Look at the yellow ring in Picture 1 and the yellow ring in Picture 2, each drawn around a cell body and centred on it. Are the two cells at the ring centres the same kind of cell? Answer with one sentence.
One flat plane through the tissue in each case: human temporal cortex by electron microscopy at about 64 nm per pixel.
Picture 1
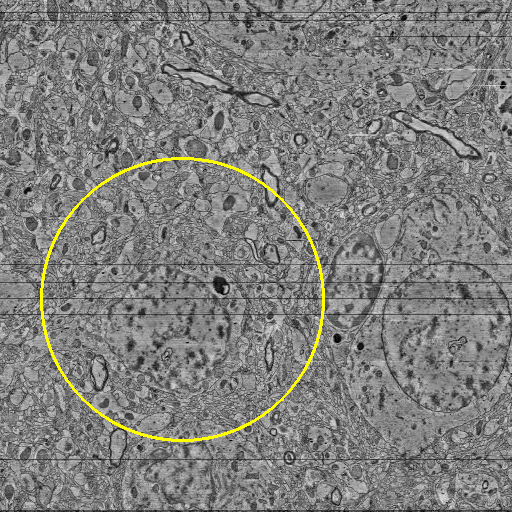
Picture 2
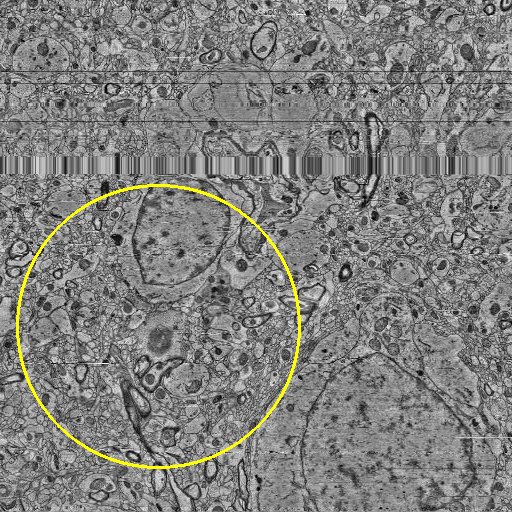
No, they are cells of two kinds.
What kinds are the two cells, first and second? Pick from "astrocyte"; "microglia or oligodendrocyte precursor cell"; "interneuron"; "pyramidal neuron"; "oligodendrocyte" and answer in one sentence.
The second picture holds an oligodendrocyte in its ring, and the first holds an interneuron.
